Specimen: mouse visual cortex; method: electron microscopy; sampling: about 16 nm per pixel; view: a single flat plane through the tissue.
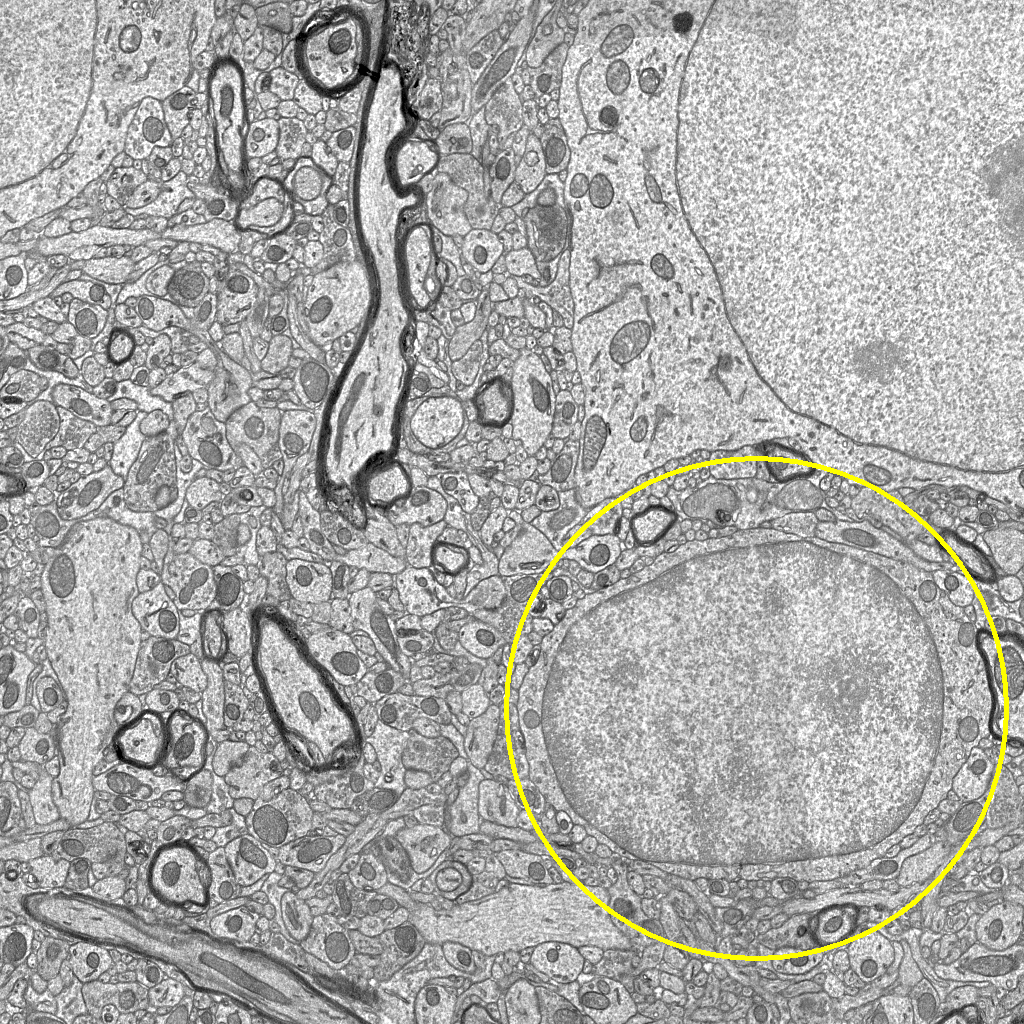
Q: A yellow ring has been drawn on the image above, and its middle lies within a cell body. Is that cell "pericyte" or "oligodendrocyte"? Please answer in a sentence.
The ring's middle lies in the cell body of an oligodendrocyte.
